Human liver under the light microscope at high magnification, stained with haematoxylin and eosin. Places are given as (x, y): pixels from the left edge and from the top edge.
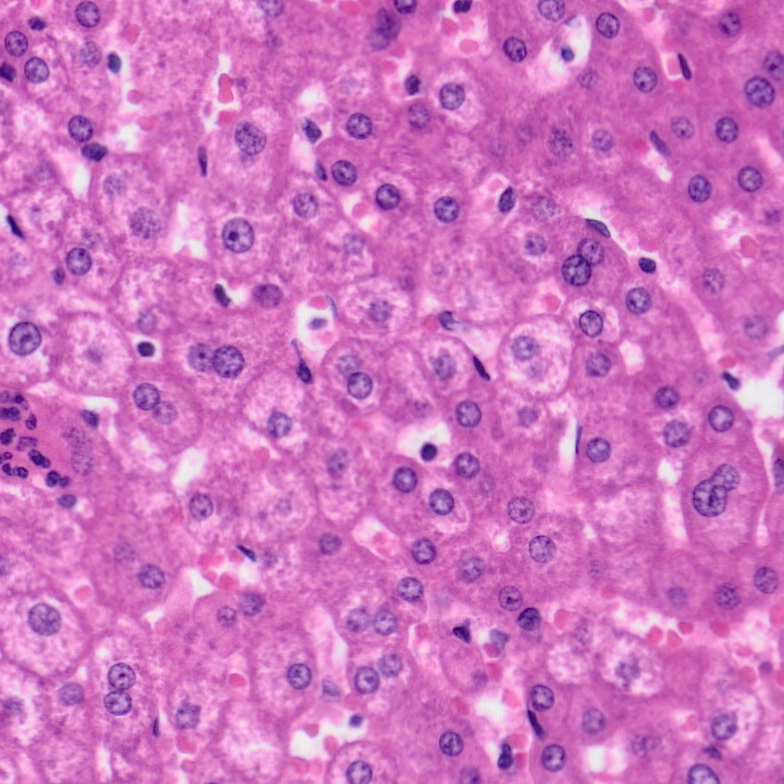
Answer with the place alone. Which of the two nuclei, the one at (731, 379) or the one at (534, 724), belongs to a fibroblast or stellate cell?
(534, 724)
